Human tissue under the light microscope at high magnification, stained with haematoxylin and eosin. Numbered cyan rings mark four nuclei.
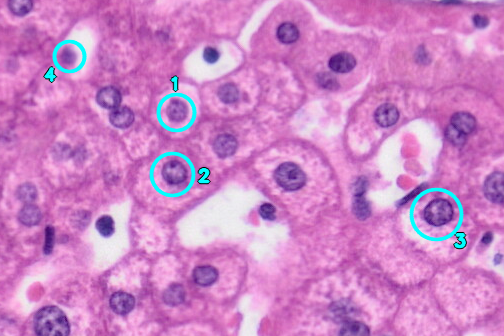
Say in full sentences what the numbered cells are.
Cell 1 is a hepatocyte, cell 2 is a hepatocyte, cell 3 is a hepatocyte and cell 4 is a Kupffer cell.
